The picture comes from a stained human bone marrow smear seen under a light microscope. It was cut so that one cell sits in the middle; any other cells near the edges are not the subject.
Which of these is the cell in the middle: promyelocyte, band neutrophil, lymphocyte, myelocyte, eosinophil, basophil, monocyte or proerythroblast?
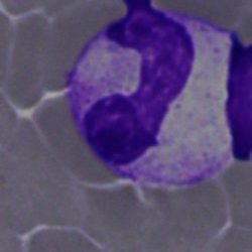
band neutrophil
